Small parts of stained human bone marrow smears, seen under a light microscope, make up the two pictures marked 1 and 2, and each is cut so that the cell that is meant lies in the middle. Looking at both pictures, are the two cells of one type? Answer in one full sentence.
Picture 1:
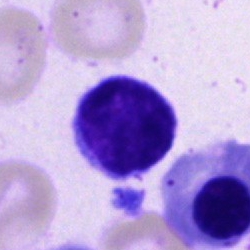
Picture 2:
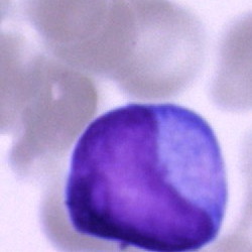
No; the cell in picture 1 is a lymphocyte, while the one in picture 2 is a blast.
